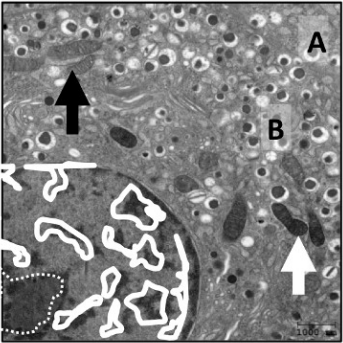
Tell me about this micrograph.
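This electron micrograph shows cytoplasm crowded with numerous small round granules, many of them with a dark dense core sitting inside a pale, clear halo. Between the granules lie several elongated, dark, oval mitochondria, and a few stacked membrane profiles can be made out in the upper middle. At the lower left a large rounded region with a curved border and a finer, more even texture occupies the corner, with irregular darker clumps traced by white outlines inside it.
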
